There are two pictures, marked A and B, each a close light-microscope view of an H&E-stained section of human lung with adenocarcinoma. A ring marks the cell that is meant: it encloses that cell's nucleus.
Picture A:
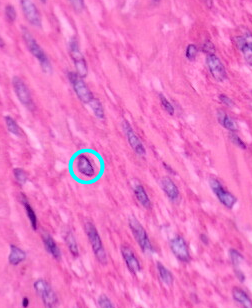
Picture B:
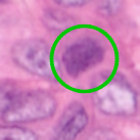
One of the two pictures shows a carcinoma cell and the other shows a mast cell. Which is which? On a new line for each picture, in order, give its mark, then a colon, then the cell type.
A: mast cell
B: carcinoma cell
